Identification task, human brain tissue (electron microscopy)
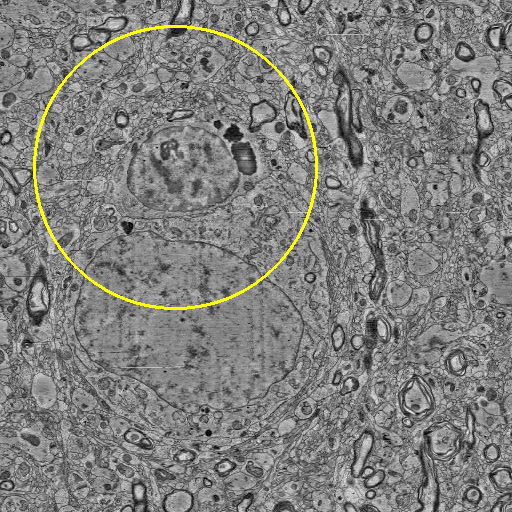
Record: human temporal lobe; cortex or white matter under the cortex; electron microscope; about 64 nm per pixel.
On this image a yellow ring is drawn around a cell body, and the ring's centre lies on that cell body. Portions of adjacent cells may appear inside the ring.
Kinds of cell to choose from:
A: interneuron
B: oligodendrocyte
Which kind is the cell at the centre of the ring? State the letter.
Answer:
B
